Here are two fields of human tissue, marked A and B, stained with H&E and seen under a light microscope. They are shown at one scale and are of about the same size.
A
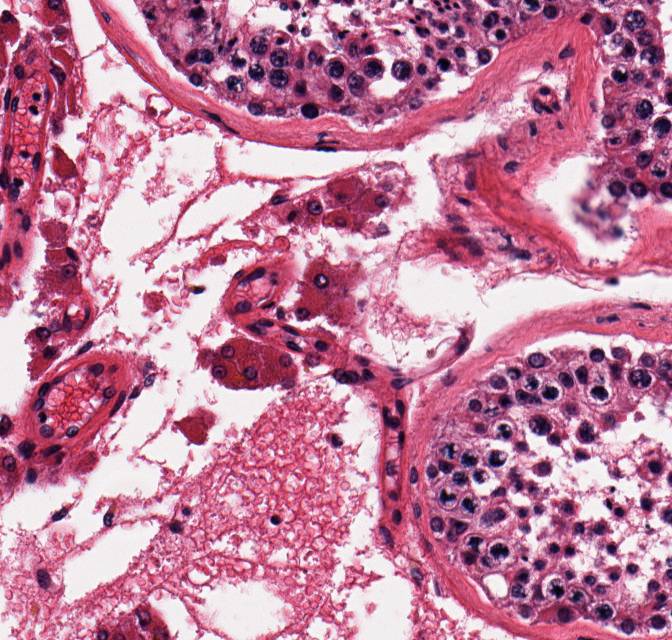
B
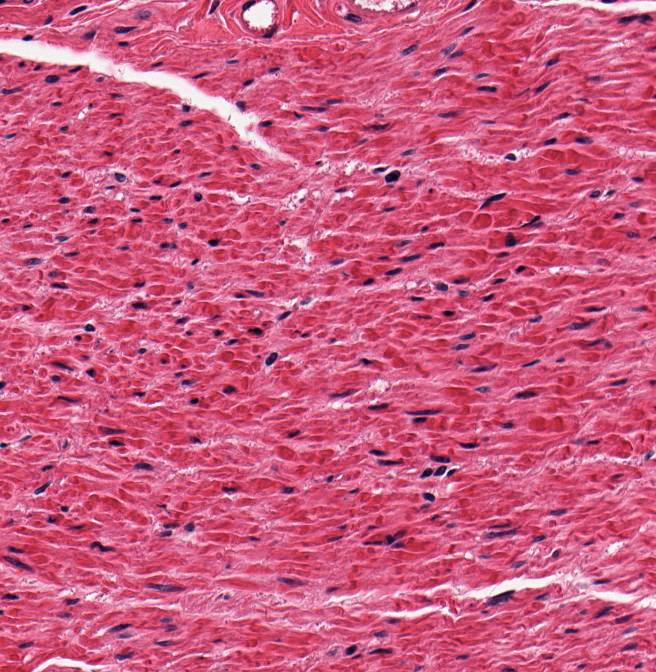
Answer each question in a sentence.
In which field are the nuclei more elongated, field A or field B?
It is field B whose nuclei are the more elongated.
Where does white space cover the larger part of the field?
Unstained space takes up more of field A than of field B.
